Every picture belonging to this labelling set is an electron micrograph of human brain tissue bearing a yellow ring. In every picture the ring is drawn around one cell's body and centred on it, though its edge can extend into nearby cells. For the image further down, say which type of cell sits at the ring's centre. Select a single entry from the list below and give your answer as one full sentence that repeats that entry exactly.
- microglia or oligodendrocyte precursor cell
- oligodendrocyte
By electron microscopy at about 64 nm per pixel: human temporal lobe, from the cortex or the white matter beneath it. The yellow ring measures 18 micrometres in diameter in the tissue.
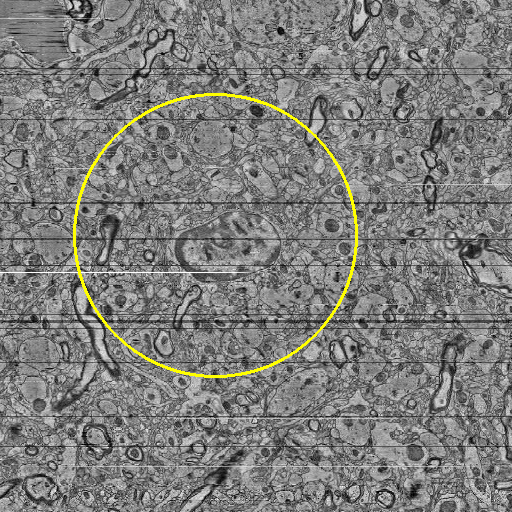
In the picture, a microglial cell or oligodendrocyte precursor cell is the cell at the centre of the yellow ring.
